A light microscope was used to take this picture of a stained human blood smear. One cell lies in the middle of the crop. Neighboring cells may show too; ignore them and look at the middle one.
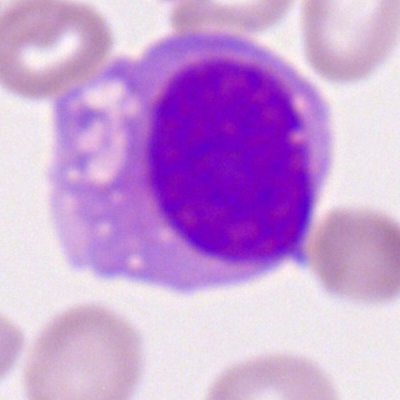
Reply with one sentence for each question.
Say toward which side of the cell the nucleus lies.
The nucleus is pushed toward the right of the cell.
